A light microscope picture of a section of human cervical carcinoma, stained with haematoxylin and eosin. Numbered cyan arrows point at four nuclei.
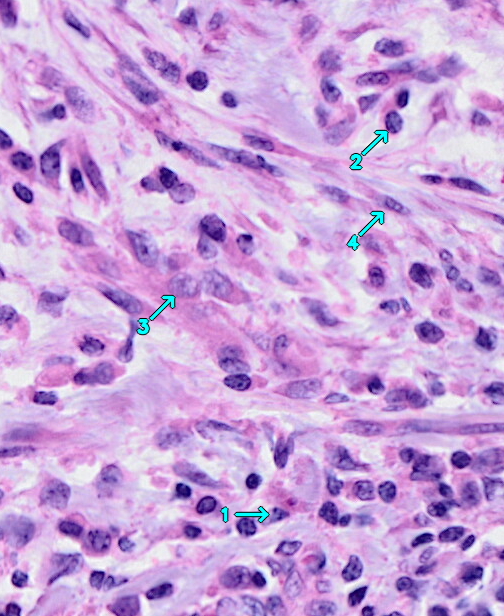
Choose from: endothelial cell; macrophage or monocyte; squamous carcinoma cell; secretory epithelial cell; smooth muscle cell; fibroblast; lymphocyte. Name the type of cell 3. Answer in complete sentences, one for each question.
The numeral 3 marks an endothelial cell in this section.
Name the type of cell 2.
The cell with the number 2 is a lymphocyte.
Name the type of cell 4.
The correct label for cell 4 is a fibroblast.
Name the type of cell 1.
The expected answer is that cell 1 is a lymphocyte.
